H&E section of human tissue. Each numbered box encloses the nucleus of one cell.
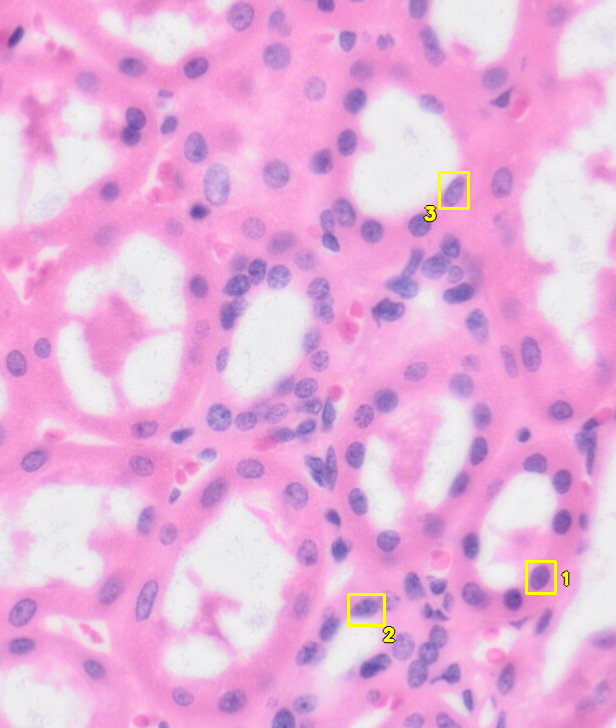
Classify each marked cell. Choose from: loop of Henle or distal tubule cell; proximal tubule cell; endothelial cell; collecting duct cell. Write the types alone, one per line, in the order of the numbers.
loop of Henle or distal tubule cell
collecting duct cell
loop of Henle or distal tubule cell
